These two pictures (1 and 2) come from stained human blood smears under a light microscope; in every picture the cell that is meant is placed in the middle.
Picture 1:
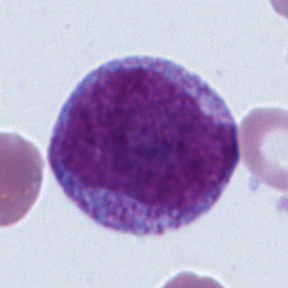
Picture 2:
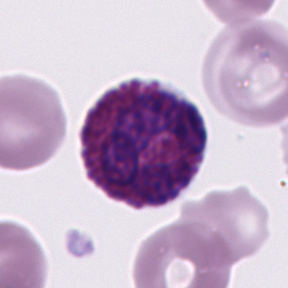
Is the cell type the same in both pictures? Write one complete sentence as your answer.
No; the cell in picture 1 is a promyelocyte, while the one in picture 2 is an eosinophil.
